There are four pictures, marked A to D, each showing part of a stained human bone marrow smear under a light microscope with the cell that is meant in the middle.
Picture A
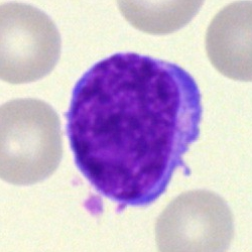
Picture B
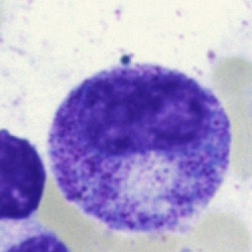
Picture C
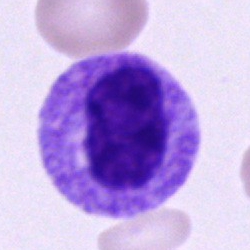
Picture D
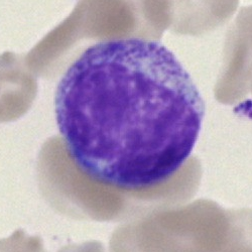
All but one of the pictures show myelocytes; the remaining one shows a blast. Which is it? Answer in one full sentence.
The blast is the one in picture A.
